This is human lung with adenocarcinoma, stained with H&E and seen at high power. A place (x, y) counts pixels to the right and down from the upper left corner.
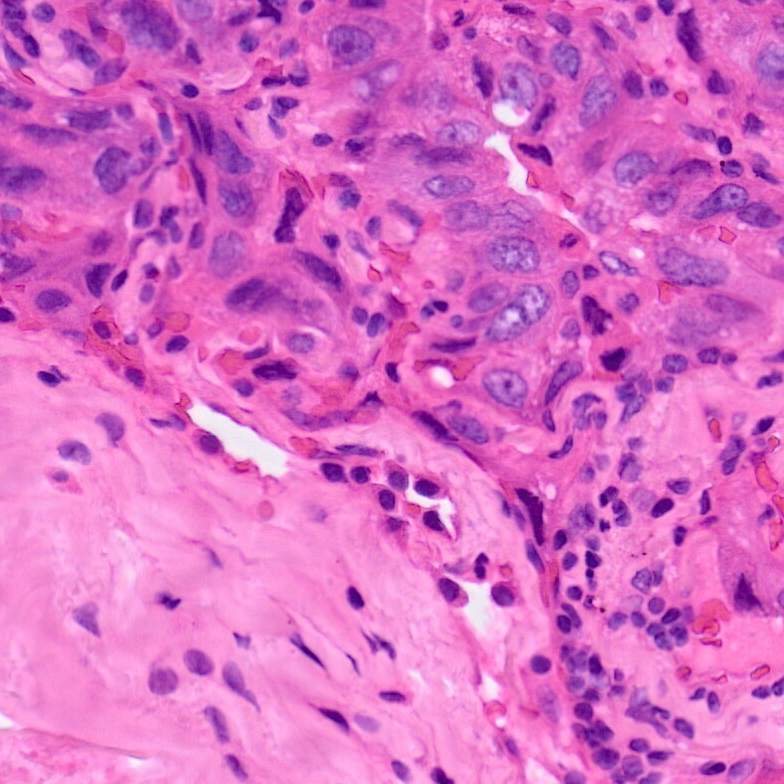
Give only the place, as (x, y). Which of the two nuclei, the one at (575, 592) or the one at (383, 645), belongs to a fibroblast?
(383, 645)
